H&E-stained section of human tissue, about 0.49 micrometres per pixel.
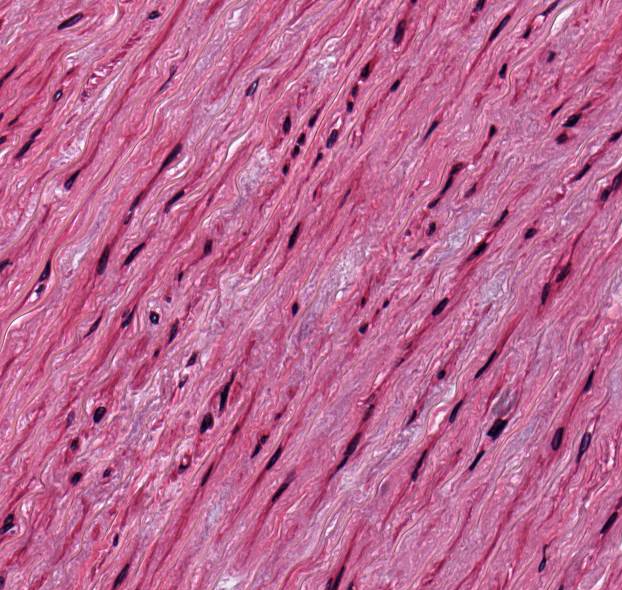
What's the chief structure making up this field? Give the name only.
tunica media of an artery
